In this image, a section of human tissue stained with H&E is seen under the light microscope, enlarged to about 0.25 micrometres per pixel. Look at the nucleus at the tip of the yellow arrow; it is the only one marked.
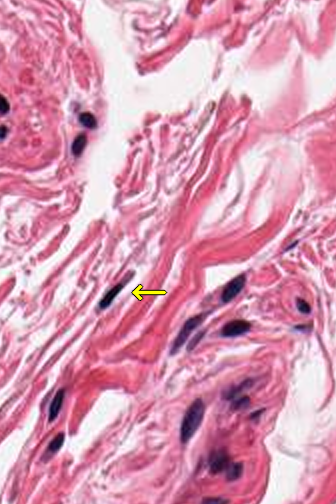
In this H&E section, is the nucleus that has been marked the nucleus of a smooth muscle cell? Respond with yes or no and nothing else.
no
